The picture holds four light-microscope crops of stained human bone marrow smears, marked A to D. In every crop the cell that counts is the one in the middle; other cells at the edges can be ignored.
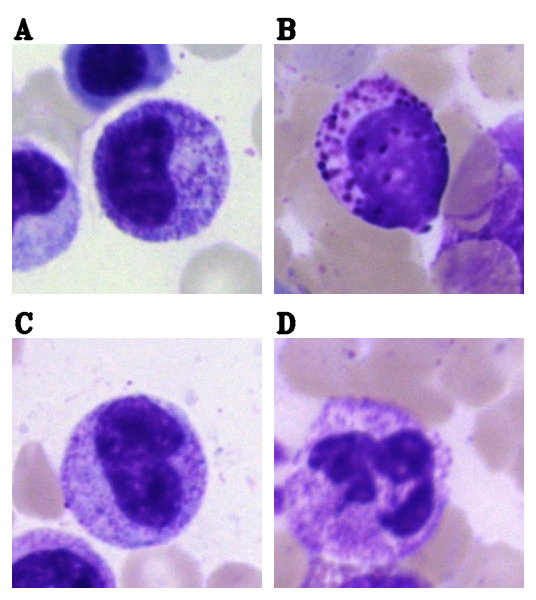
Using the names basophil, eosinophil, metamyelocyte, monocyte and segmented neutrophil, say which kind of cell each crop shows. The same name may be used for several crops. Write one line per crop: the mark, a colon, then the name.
A: metamyelocyte
B: basophil
C: metamyelocyte
D: segmented neutrophil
